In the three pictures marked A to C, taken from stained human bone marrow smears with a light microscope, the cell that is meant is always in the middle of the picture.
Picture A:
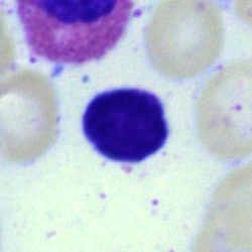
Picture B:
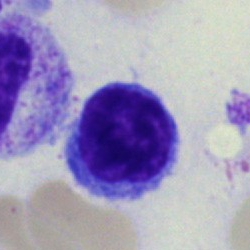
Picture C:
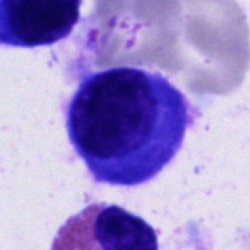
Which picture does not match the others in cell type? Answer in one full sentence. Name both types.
Picture C differs, because its cell is a plasma cell and the rest are lymphocytes.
